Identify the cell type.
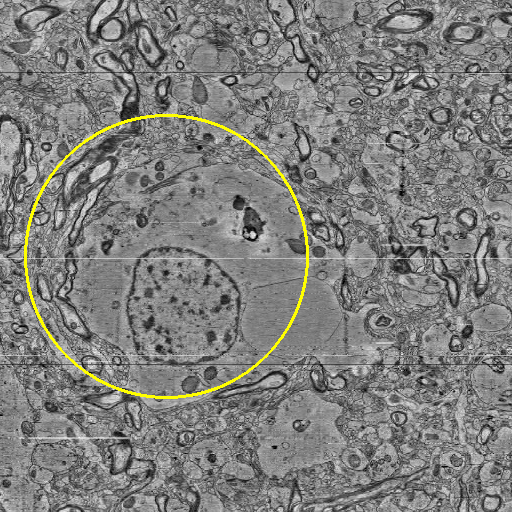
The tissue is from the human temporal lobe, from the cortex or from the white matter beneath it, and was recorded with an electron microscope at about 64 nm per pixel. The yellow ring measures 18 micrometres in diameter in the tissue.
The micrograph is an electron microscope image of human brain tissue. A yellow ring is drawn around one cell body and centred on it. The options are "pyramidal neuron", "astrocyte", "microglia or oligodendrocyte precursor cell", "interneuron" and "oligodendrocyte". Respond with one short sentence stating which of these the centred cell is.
The cell body in the ring belongs to an astrocyte.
